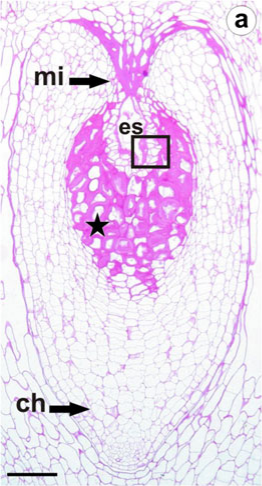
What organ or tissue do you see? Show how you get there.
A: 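An elongated organ with many layers of small cells surrounding a central cavity. A narrow canal opens at the upper tip between folded cell layers. An intensely magenta-stained zone of cells surrounds the central cavity.
Ovule.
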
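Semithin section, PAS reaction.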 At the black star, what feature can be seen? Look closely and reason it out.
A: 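The cells around the star have very thick walls stained deep magenta. Their lumina appear as small pale spaces within the dense stain. Cells further out have thin pink walls.
Answer: extremely thick walls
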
